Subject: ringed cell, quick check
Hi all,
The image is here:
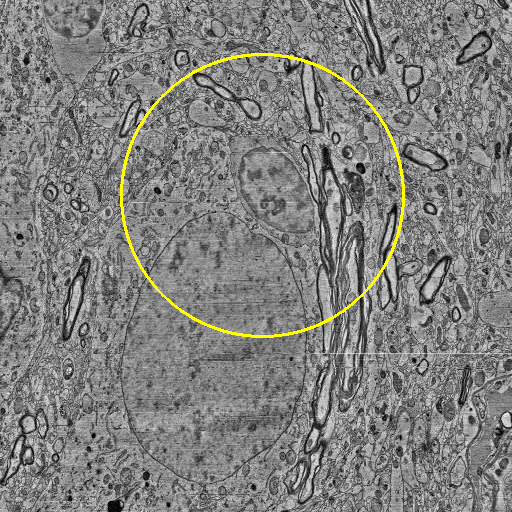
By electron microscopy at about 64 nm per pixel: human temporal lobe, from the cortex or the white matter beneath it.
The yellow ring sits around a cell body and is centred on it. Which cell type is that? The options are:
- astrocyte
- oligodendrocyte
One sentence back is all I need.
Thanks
That ringed cell is an oligodendrocyte.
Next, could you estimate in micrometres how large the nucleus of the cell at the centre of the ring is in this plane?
Roughly 6 by 4 micrometers, clearly longer than it is wide in this plane.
